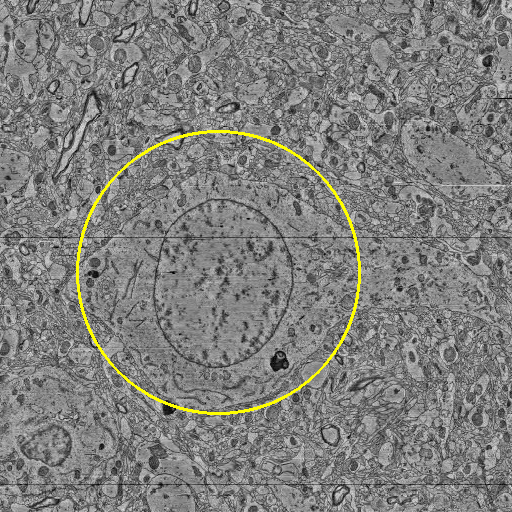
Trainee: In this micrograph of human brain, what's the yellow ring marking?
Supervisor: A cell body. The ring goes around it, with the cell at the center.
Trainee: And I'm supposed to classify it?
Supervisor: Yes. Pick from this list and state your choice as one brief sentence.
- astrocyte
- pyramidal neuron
The cell at the ring's center is a pyramidal neuron.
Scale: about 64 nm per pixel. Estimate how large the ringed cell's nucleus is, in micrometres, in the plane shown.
Roughly 11 micrometres by 9 micrometres, in this plane.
